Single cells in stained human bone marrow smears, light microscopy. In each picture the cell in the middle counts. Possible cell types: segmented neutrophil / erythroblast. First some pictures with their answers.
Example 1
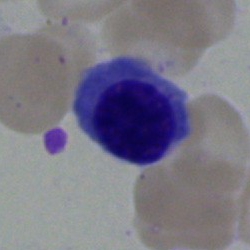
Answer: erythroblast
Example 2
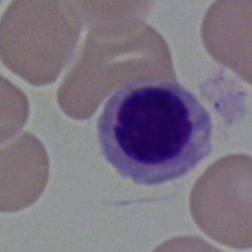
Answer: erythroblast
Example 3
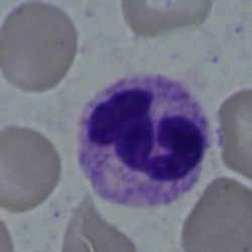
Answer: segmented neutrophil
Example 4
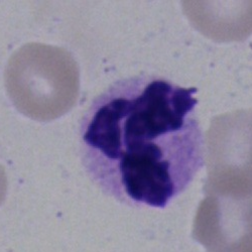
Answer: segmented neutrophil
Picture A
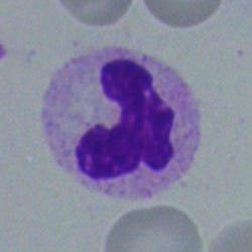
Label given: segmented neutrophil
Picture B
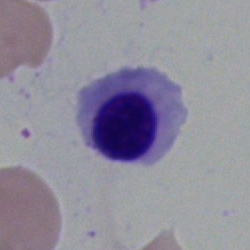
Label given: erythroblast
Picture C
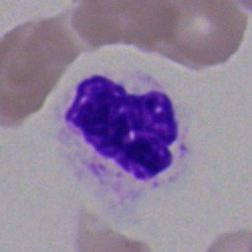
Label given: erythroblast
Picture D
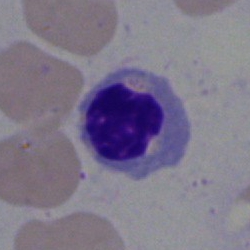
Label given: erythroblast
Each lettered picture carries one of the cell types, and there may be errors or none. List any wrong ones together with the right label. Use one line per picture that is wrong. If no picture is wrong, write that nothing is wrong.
C: change erythroblast to segmented neutrophil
